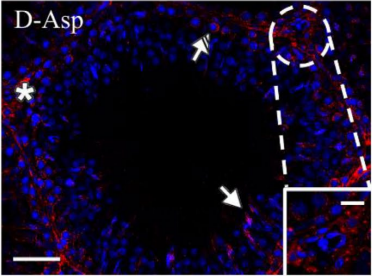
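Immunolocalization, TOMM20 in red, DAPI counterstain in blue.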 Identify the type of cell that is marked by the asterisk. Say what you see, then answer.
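The asterisk lies in the interstitial space outside the tubule. Red signal is dense around the cells there. The answer: Leydig cells.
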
